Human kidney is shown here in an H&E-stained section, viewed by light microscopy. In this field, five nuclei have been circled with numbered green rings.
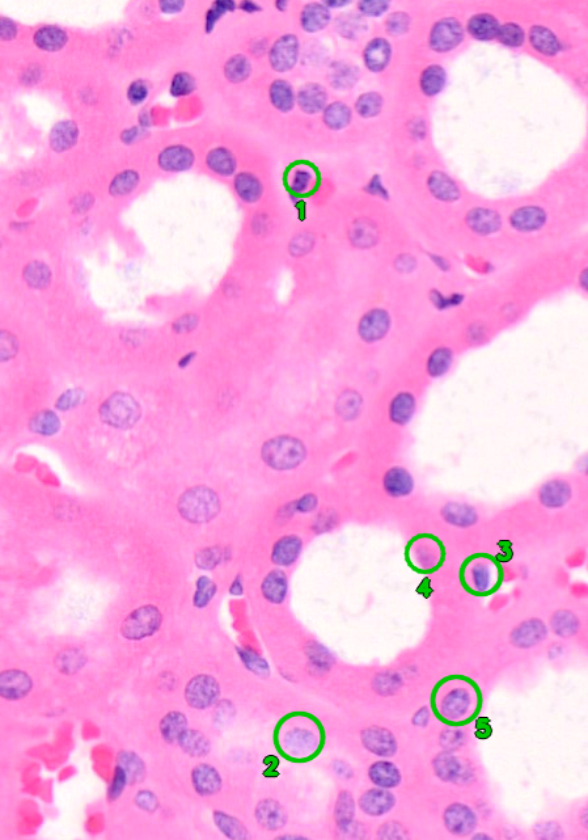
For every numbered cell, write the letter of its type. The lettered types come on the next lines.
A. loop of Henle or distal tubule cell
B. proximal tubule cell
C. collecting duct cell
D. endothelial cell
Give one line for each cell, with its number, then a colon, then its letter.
1: D
2: C
3: D
4: A
5: C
